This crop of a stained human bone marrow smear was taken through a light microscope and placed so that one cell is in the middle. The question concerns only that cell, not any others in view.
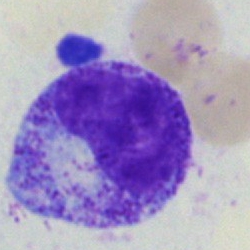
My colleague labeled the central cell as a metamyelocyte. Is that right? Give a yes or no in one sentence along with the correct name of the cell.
Yes, this crop has a metamyelocyte at its centre.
